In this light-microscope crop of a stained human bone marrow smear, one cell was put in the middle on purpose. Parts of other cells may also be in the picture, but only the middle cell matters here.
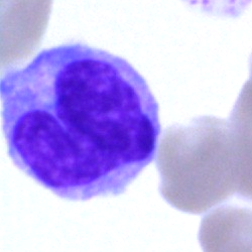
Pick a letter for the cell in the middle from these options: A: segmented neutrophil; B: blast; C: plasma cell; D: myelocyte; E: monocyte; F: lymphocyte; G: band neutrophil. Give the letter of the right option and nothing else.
E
